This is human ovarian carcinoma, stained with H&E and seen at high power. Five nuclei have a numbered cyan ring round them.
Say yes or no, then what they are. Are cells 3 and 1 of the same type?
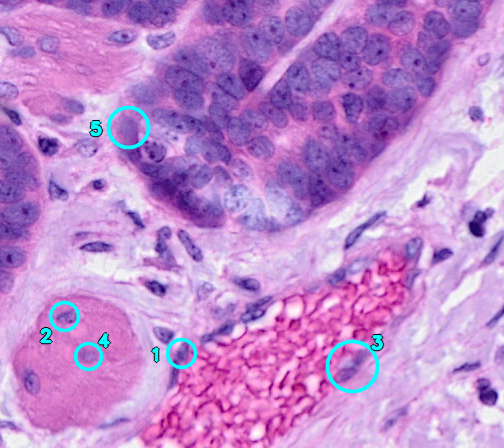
Yes, the numbered cells 3 and 1 are both endothelial cells.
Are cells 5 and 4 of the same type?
No, cell 5 here is a carcinoma cell, and cell 4 here is a smooth muscle cell.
